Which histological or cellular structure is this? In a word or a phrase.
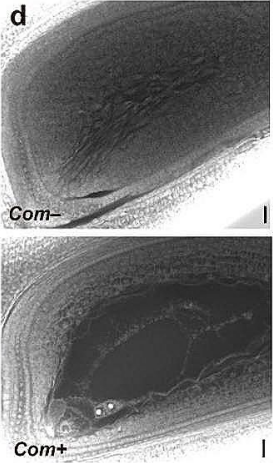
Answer: Embryo sac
